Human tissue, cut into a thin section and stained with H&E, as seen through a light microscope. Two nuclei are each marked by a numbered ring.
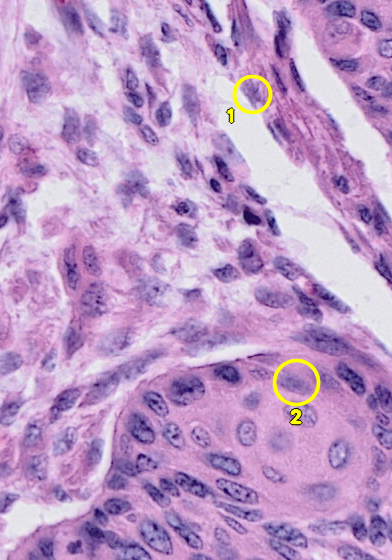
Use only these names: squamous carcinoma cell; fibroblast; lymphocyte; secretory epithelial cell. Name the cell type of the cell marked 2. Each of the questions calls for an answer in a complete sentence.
The marked cell bearing number 2 is a squamous carcinoma cell.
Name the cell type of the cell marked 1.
The numbered cell 1 is identified here as a fibroblast.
